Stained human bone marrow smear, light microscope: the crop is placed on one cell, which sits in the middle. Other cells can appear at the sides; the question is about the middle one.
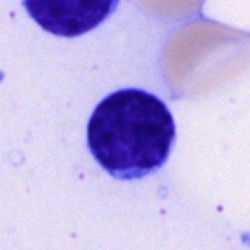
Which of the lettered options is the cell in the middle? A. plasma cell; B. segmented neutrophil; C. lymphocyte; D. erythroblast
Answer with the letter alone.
C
